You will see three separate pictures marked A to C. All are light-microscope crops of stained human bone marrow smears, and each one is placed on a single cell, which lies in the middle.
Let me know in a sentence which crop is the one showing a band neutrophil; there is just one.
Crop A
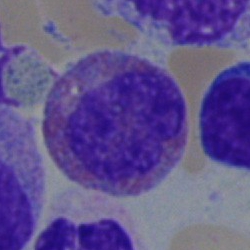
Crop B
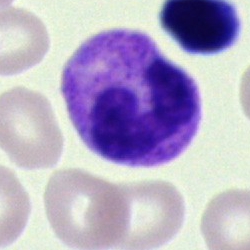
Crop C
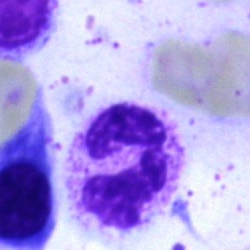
Among these crops, crop B holds a band neutrophil.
